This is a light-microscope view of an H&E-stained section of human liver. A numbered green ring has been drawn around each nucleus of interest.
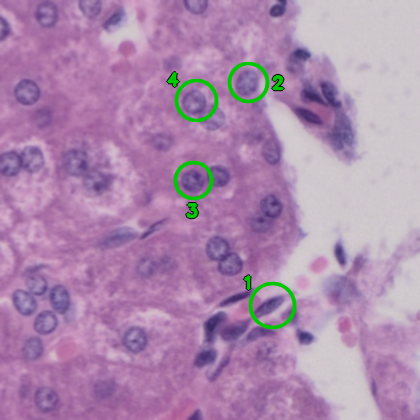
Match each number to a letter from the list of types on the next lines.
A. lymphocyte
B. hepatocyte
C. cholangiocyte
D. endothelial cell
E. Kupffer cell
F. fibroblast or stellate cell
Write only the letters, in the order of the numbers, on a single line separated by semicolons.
F; C; B; B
